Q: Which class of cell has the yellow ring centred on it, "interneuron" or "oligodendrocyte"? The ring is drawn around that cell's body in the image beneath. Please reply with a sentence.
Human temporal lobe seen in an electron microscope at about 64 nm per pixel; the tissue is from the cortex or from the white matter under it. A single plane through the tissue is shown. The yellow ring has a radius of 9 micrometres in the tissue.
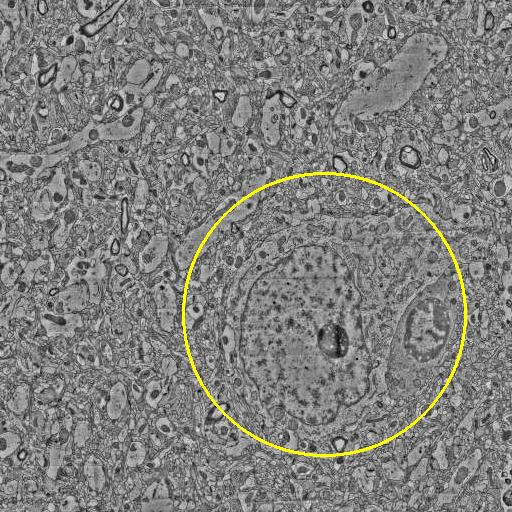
It is centred on an interneuron.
